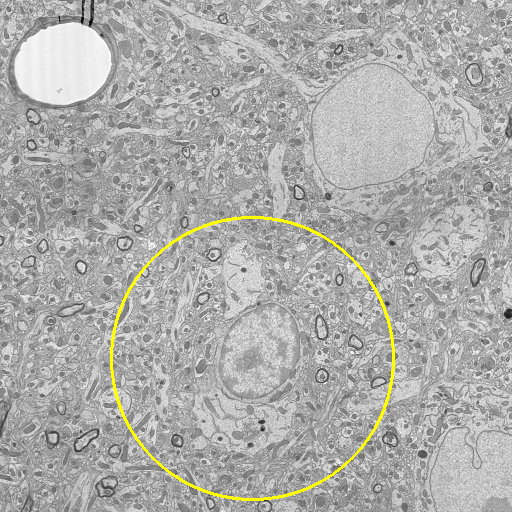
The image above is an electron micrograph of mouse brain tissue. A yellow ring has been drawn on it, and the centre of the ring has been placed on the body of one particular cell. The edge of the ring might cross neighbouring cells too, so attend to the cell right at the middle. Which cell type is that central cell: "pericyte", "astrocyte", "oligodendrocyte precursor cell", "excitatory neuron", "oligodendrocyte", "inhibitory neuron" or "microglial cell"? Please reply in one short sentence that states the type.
The central cell in the ring is an oligodendrocyte.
